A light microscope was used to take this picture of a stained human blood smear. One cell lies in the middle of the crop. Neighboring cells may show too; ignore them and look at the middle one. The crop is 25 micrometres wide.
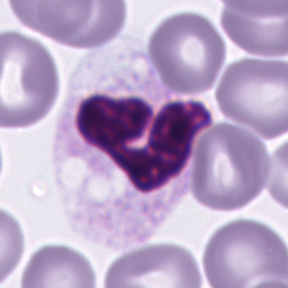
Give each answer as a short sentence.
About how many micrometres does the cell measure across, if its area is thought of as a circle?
The cell is about 12 micrometres across.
